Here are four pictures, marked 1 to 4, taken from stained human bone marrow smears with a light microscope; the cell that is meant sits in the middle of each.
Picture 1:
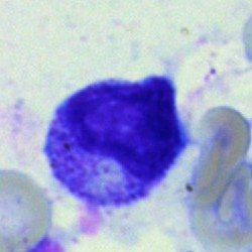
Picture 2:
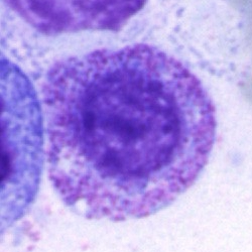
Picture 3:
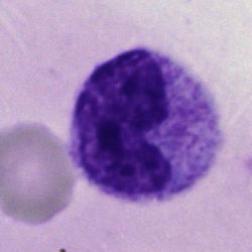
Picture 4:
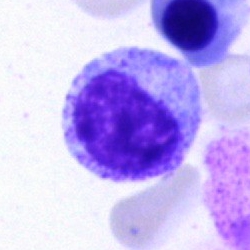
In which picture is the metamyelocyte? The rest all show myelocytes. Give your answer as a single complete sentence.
The metamyelocyte is the one in picture 3.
